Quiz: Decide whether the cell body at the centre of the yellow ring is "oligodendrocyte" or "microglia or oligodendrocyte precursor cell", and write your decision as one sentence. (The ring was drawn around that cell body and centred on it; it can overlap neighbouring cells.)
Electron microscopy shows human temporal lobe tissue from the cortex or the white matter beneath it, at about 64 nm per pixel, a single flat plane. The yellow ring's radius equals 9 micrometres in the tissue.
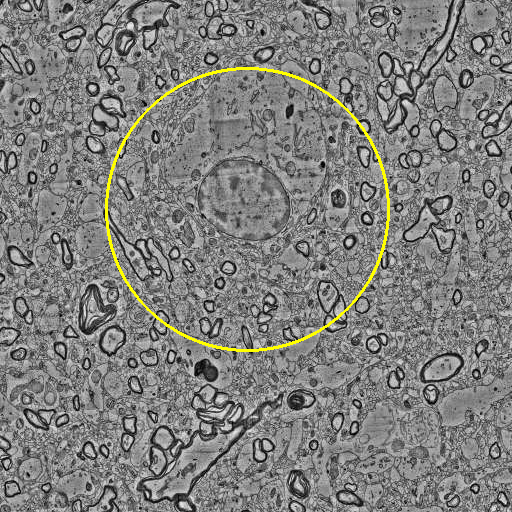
The cell the ring is centred on is a microglial cell or oligodendrocyte precursor cell.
